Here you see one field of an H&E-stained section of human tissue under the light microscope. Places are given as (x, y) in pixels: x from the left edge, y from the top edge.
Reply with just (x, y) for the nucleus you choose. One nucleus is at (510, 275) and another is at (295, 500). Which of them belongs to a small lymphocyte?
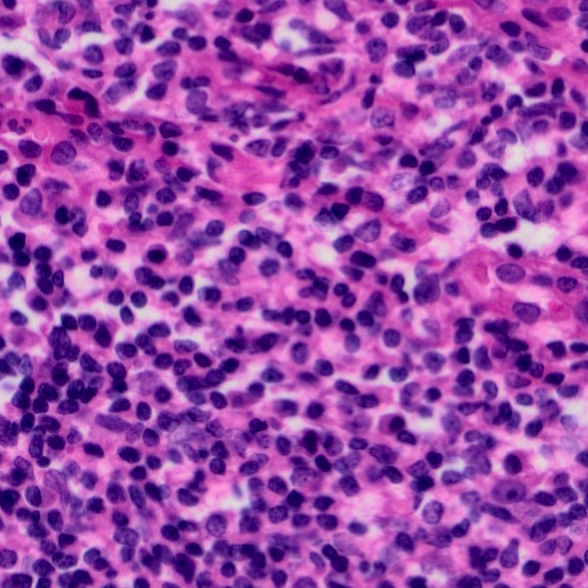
(295, 500)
